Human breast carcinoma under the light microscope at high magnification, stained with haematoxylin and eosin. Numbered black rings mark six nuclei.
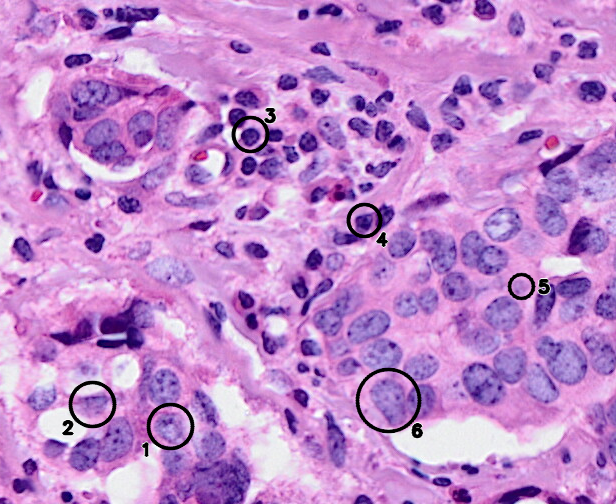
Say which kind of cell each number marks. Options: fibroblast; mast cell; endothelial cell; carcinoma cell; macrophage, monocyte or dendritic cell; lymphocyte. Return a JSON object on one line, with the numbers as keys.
{"1": "carcinoma cell", "2": "carcinoma cell", "3": "lymphocyte", "4": "lymphocyte", "5": "carcinoma cell", "6": "carcinoma cell"}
